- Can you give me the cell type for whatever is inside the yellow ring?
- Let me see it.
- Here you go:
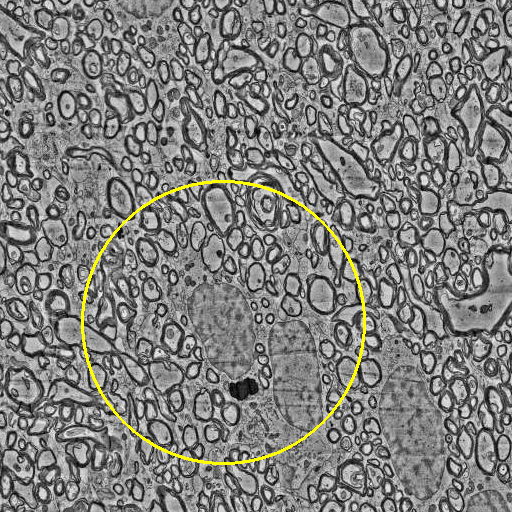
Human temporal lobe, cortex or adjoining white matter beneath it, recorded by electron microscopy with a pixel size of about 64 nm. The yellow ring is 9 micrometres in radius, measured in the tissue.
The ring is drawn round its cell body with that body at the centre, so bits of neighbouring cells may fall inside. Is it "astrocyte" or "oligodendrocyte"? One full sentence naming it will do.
The cell body in the middle of the ring in this picture belongs to an oligodendrocyte.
